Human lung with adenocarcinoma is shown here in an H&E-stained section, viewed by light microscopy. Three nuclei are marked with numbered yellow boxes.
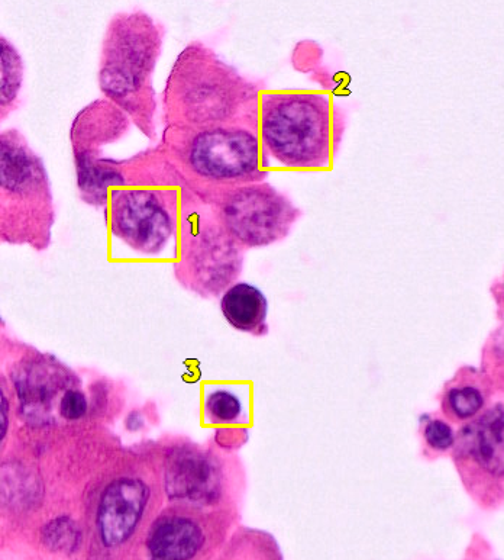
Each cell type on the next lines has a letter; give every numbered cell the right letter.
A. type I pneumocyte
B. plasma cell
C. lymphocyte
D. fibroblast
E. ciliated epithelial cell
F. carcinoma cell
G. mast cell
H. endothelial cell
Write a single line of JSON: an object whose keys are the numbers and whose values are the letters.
{"1": "F", "2": "F", "3": "C"}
